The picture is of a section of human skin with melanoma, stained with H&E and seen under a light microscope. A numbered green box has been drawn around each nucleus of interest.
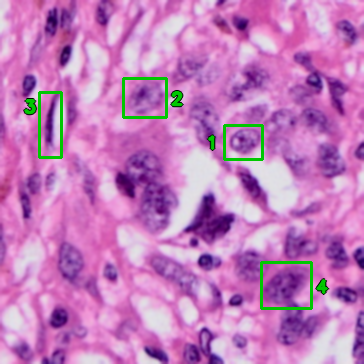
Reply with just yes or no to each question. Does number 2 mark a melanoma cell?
yes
